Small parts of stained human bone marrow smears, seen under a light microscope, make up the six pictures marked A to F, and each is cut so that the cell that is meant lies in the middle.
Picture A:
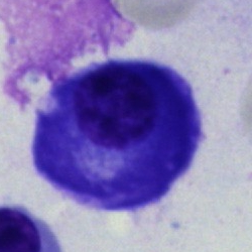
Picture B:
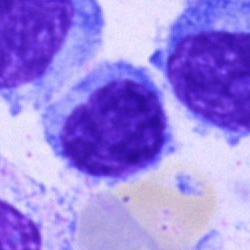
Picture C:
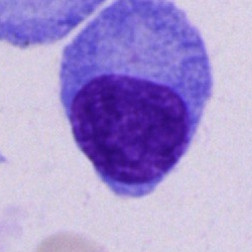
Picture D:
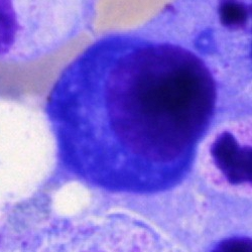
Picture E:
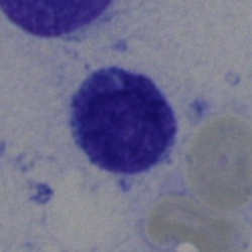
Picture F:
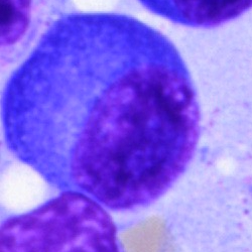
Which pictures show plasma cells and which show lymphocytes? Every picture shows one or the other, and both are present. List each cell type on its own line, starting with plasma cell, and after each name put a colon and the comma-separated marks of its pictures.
plasma cell: A, C, D, F
lymphocyte: B, E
